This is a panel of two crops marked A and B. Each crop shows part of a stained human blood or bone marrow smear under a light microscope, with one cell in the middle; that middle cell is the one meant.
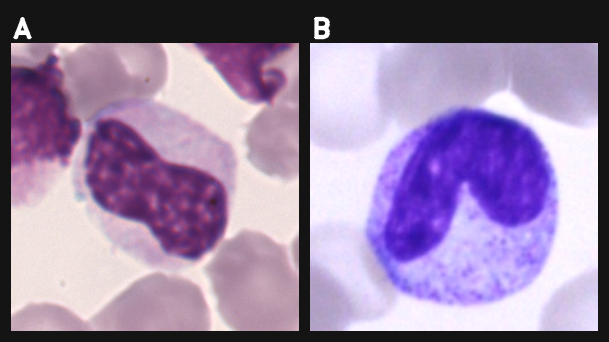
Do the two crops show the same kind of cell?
yes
